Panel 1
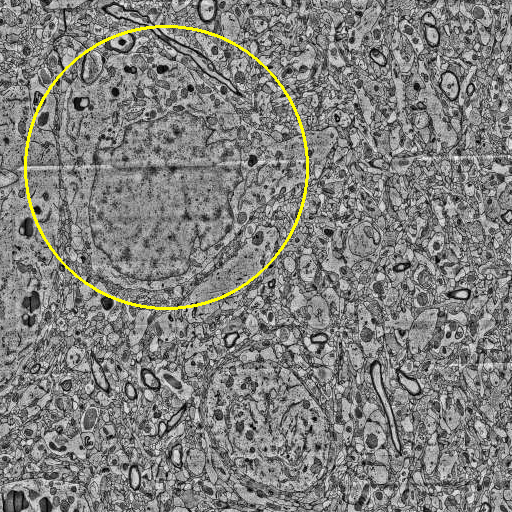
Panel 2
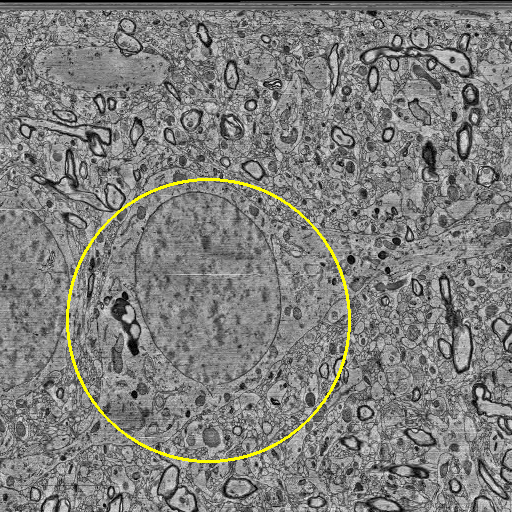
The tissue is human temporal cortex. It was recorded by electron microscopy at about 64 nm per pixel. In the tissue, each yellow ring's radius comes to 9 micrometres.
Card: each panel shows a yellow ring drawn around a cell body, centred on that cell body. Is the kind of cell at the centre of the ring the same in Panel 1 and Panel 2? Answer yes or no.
no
